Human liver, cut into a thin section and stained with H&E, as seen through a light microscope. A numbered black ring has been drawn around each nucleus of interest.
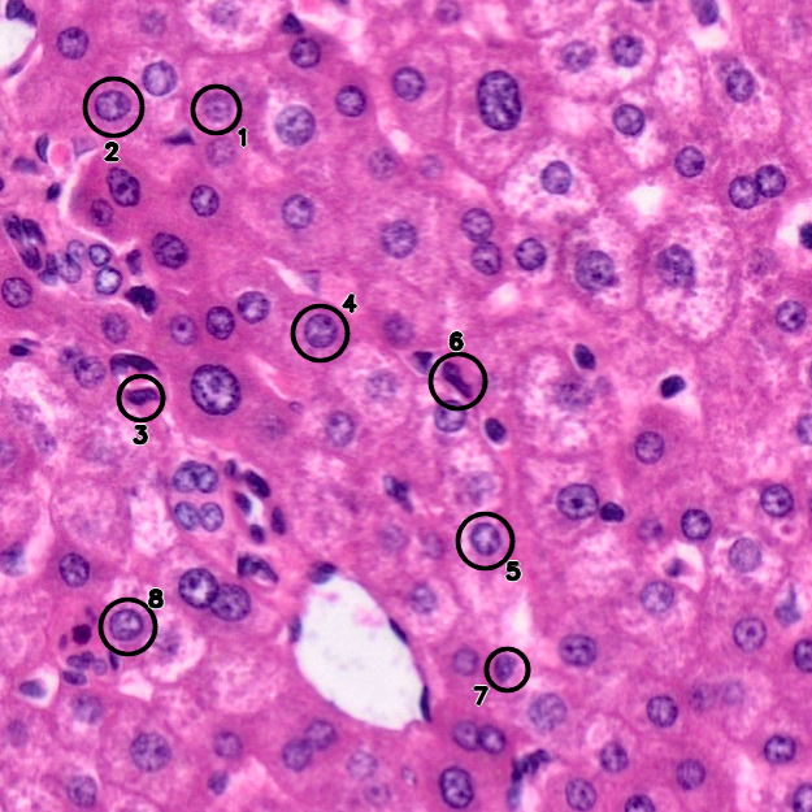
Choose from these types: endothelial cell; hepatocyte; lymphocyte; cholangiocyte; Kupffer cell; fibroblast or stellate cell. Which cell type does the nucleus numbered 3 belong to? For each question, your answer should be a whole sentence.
Cell number 3 in this section is a fibroblast or stellate cell.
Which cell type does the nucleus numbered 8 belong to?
Looking at the numbered marks, cell 8 is a hepatocyte.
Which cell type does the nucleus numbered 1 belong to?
The cell with the number 1 is a hepatocyte.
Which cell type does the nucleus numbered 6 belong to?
The cell that carries the label 6 is a fibroblast or stellate cell.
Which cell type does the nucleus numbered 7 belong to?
Cell 7 should be recorded as a fibroblast or stellate cell.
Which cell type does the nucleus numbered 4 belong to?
The cell with the number 4 is a hepatocyte.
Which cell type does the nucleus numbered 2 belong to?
The nucleus marked 2 is the nucleus of a hepatocyte.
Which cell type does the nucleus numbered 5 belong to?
The numeral 5 marks a hepatocyte in this section.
